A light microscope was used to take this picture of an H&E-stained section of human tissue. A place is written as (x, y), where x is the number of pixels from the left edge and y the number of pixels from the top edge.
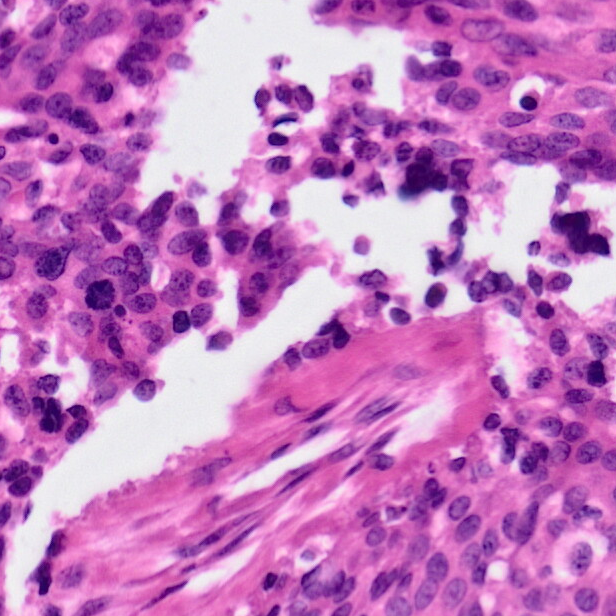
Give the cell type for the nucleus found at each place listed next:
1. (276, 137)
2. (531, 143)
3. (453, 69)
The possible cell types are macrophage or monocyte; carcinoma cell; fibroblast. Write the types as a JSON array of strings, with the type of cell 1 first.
["macrophage or monocyte", "carcinoma cell", "carcinoma cell"]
